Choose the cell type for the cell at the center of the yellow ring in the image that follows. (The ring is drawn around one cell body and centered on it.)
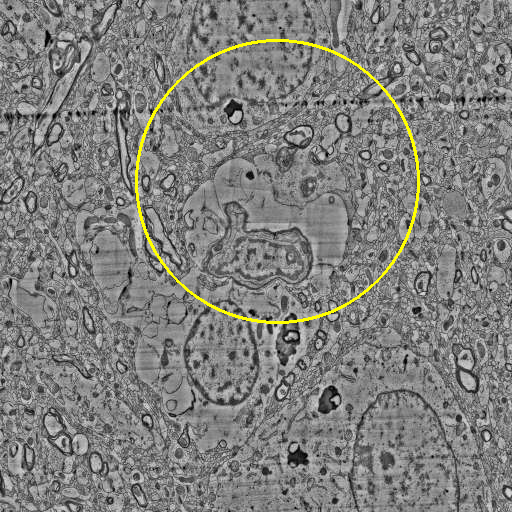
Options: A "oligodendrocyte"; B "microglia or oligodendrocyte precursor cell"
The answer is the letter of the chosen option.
B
